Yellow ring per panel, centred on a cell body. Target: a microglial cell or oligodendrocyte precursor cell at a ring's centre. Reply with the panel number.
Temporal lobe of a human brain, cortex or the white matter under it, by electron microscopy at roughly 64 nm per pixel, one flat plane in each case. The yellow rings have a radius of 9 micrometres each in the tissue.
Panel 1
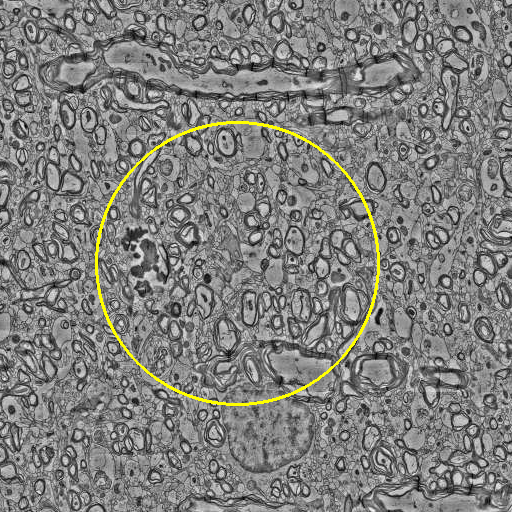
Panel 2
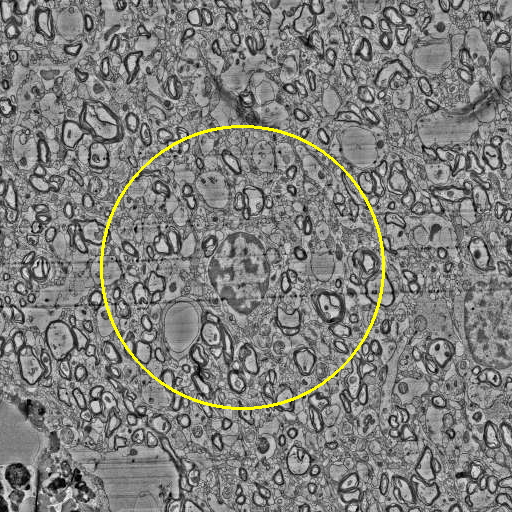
2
